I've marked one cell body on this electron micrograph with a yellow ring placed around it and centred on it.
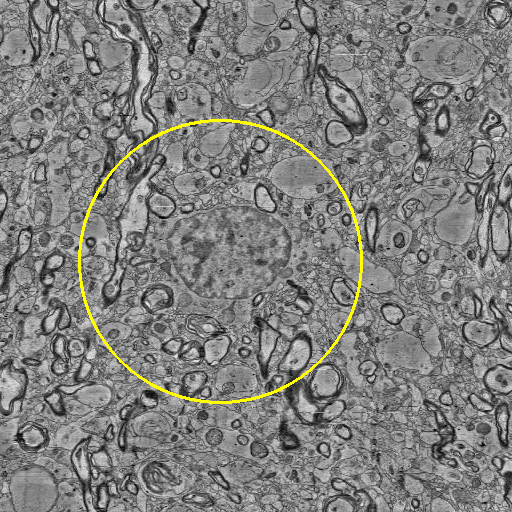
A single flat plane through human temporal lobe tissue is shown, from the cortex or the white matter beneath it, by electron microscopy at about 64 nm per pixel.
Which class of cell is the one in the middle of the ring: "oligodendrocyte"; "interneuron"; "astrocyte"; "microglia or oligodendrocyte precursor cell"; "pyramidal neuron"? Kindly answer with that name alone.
oligodendrocyte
